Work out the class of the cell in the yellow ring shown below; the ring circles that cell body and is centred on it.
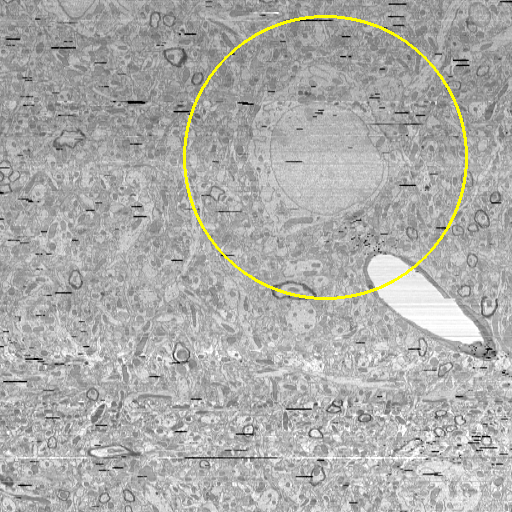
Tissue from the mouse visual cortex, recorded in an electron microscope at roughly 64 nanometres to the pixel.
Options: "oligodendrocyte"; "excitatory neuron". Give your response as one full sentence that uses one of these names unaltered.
The body ringed in yellow, right at the ring's centre, is that of an excitatory neuron.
